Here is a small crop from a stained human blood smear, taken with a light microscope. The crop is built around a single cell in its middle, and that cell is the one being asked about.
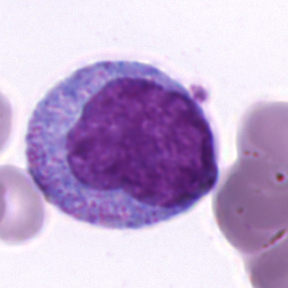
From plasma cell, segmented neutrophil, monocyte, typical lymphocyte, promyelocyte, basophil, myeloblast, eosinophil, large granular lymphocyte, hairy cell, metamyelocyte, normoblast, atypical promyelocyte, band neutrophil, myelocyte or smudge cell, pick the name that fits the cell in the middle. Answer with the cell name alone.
promyelocyte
